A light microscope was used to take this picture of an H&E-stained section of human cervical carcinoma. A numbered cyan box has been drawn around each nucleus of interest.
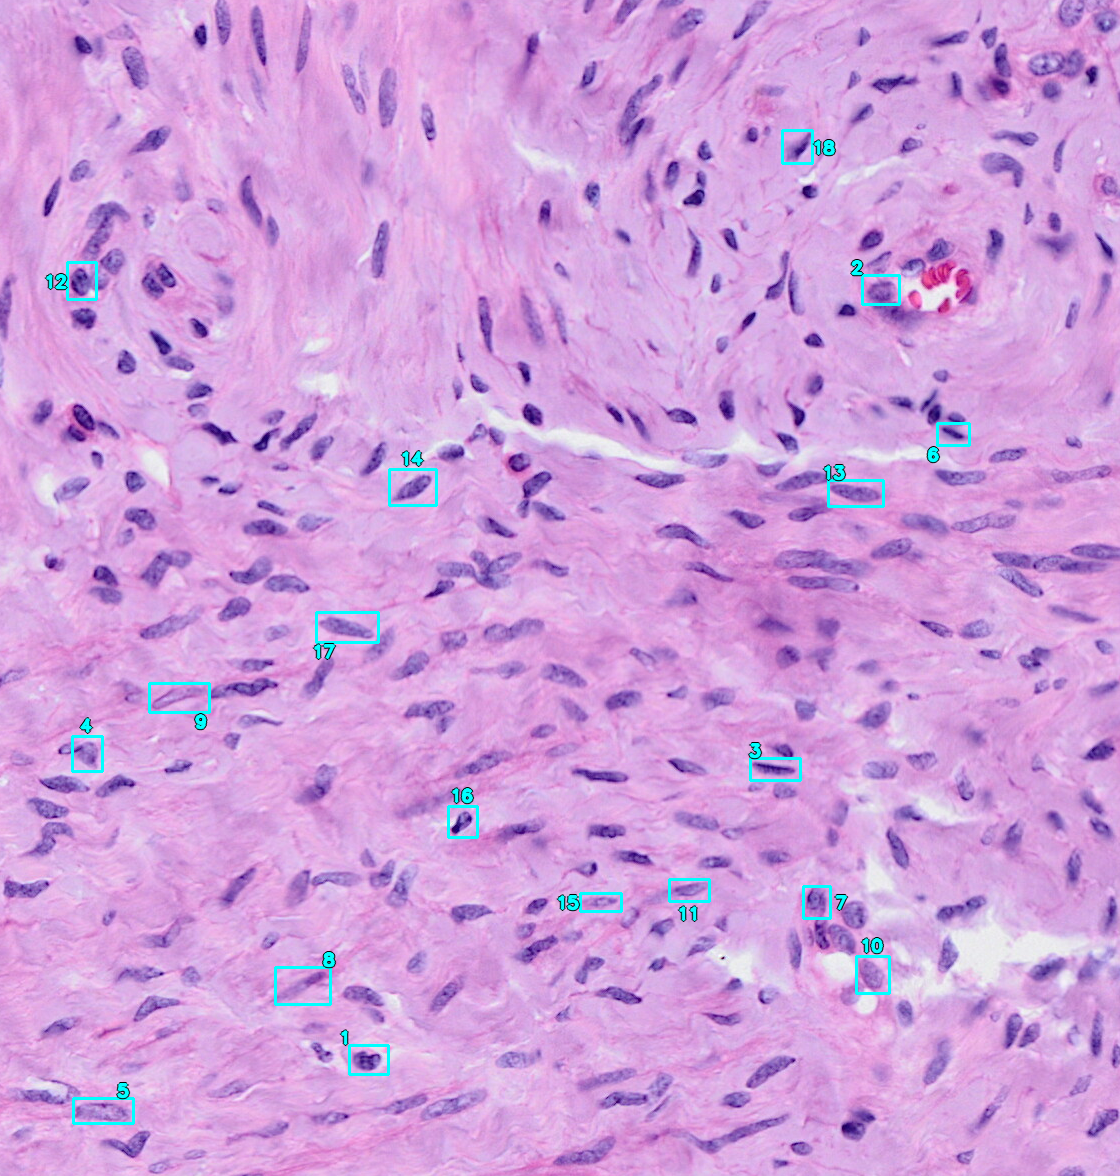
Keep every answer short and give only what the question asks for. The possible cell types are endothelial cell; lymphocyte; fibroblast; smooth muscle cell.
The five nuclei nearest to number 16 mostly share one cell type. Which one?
smooth muscle cell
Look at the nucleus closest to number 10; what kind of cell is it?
endothelial cell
